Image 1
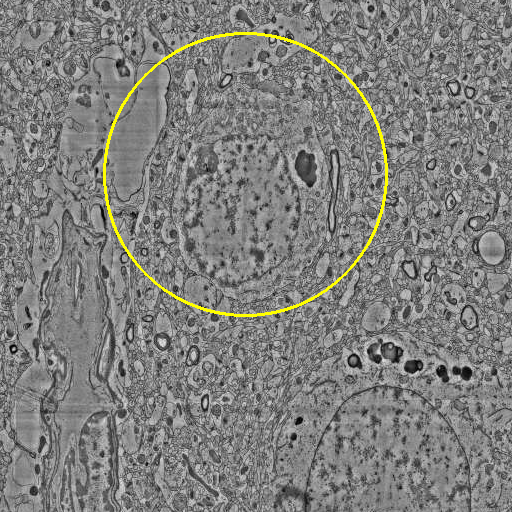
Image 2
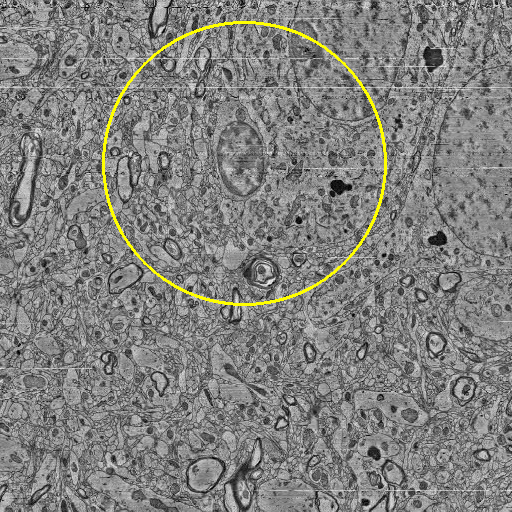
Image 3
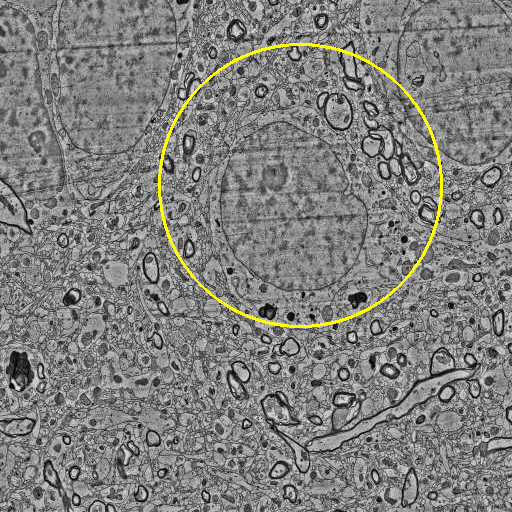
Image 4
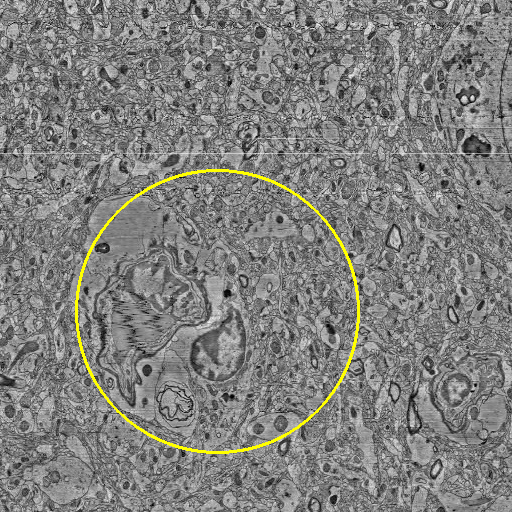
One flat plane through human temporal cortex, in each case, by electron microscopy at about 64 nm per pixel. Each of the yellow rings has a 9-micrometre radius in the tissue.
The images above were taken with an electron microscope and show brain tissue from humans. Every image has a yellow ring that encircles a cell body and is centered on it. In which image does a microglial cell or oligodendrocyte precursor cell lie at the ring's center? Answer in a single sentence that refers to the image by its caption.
In Image 4, the cell at the center of the yellow ring is the correct match.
